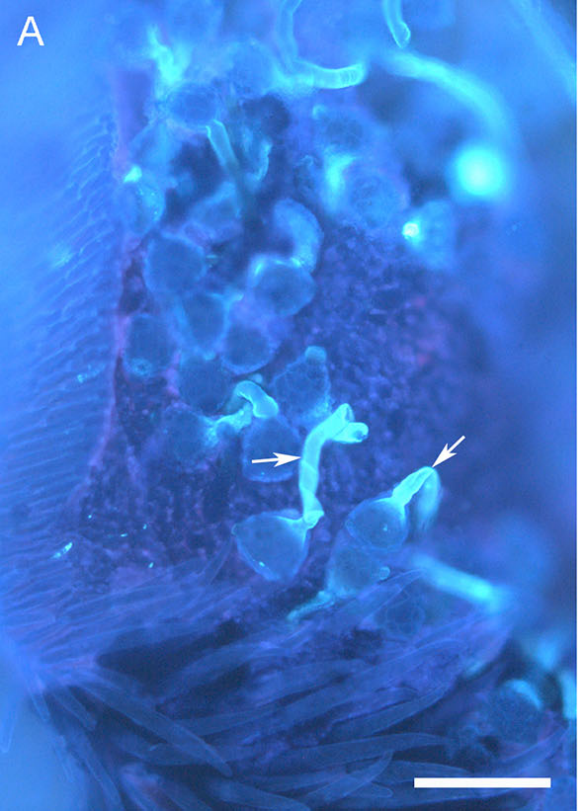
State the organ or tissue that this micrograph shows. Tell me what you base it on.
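Many rounded pollen grains lie on a tissue surface. Elongated cells fringe the lower part of the tissue. The answer: Stigma.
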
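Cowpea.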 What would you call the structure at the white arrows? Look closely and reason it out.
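Bright tubular outgrowths extend from rounded grains. The grains sit on the surface of the tissue. That points to this answer: pollen tube.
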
